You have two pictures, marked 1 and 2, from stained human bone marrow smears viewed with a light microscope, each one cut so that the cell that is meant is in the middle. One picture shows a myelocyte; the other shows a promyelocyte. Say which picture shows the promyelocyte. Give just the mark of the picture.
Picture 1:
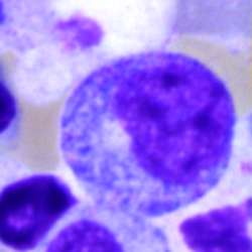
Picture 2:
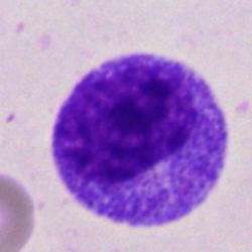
1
